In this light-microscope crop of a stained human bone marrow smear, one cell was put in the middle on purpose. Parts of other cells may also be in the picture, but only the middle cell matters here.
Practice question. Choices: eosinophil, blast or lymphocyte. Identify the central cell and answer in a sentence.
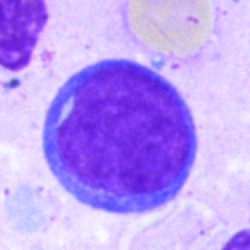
The cell in the middle of the field of view is a blast.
